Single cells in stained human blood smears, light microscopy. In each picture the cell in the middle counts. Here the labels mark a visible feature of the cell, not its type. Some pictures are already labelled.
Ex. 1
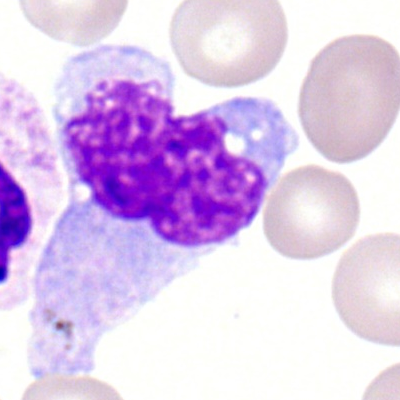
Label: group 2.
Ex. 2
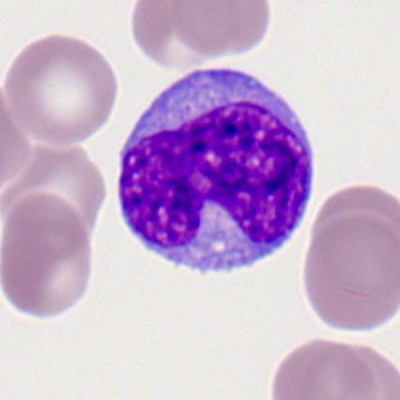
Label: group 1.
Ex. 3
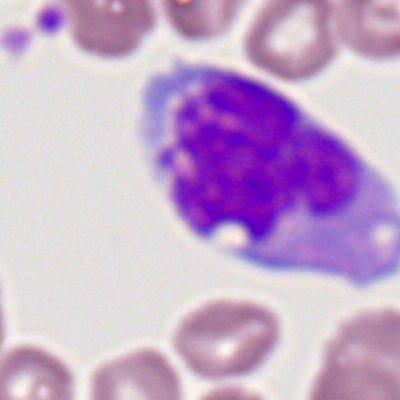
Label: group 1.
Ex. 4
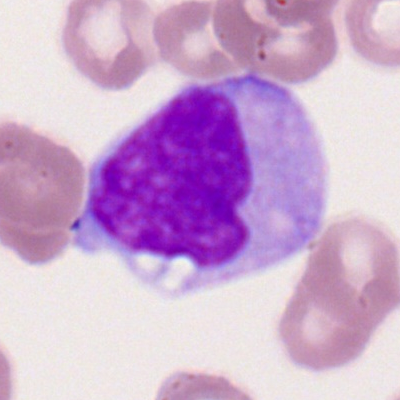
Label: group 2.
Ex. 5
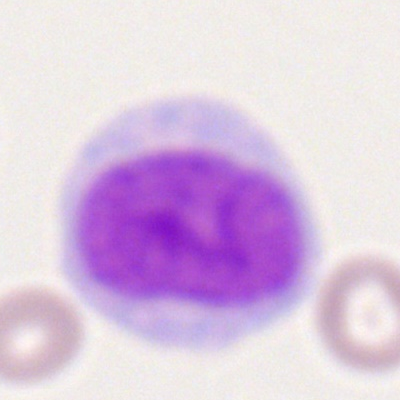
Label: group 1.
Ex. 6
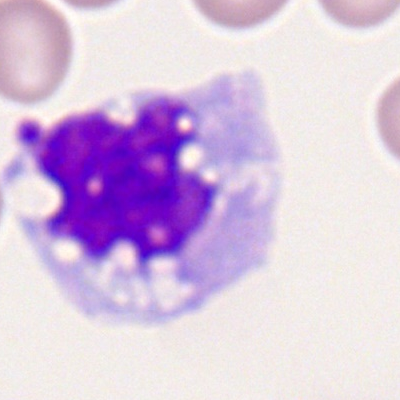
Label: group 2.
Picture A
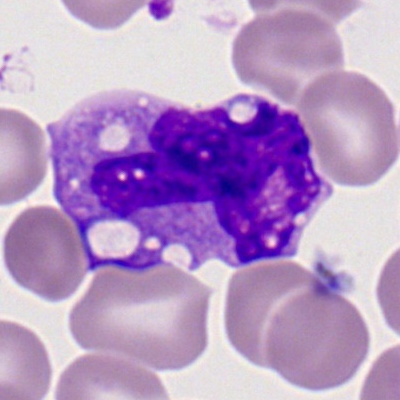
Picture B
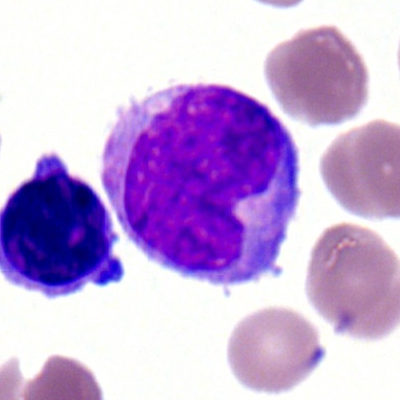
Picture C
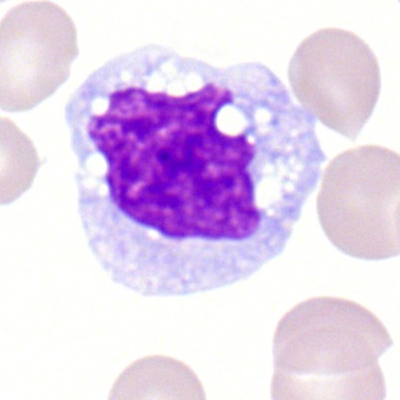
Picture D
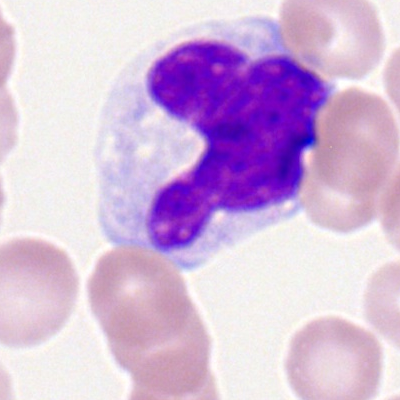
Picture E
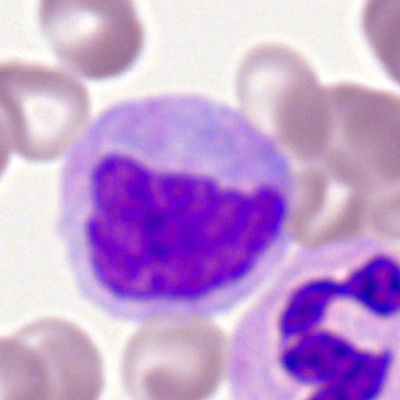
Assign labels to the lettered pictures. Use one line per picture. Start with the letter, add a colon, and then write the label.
A: group 2.
B: group 1.
C: group 2.
D: group 2.
E: group 2.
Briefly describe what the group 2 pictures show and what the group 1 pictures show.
Seen in group 2: abundant cytoplasm; seen in group 1: scant cytoplasm.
